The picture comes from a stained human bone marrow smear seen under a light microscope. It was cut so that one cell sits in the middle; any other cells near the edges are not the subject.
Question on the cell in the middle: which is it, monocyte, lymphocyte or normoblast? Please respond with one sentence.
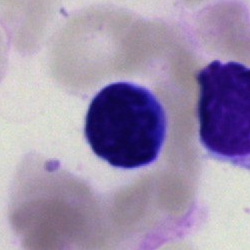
This crop's central cell is a lymphocyte.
